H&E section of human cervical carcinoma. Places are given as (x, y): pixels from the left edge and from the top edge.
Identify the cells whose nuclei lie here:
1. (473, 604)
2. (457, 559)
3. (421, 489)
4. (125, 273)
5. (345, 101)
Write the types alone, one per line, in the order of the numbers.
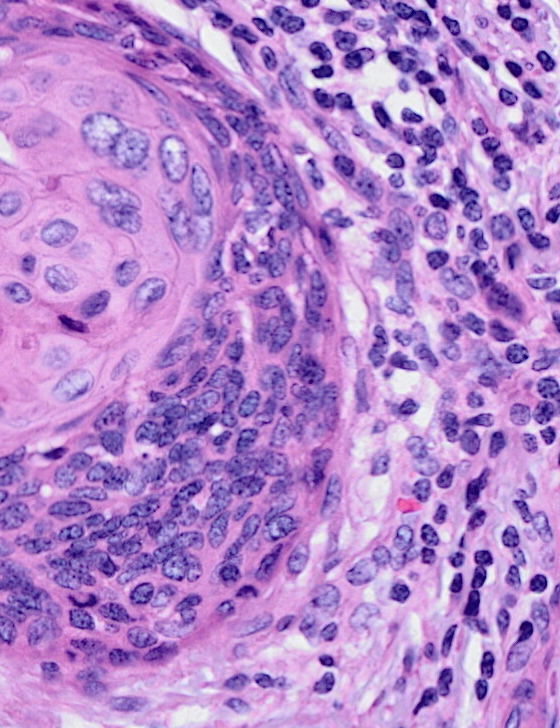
lymphocyte
lymphocyte
endothelial cell
squamous carcinoma cell
lymphocyte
